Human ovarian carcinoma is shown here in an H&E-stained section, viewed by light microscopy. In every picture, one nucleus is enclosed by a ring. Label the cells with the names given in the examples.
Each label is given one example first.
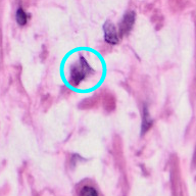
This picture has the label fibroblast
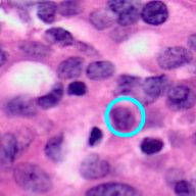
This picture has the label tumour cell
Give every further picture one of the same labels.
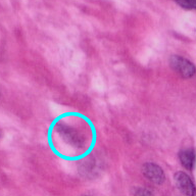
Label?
fibroblast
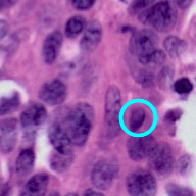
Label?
tumour cell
